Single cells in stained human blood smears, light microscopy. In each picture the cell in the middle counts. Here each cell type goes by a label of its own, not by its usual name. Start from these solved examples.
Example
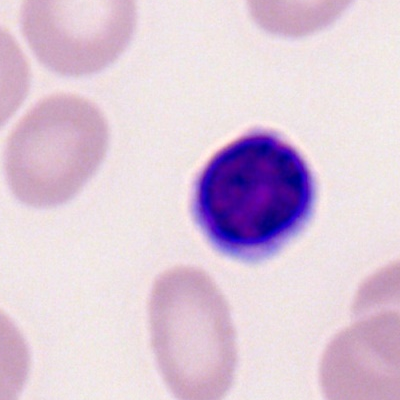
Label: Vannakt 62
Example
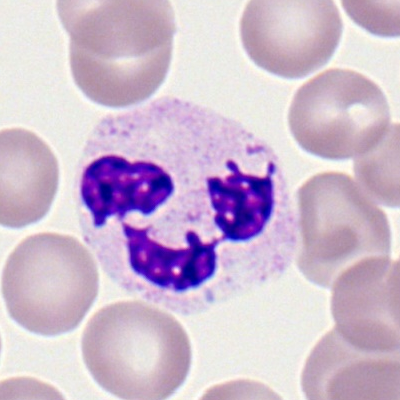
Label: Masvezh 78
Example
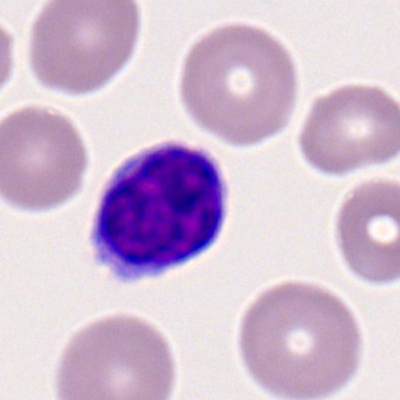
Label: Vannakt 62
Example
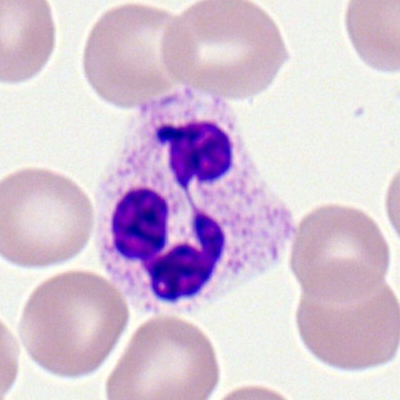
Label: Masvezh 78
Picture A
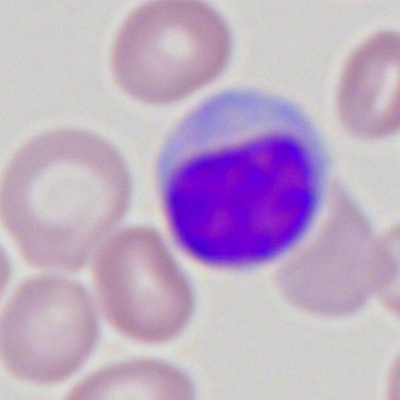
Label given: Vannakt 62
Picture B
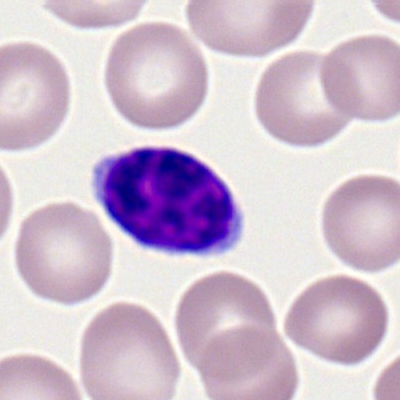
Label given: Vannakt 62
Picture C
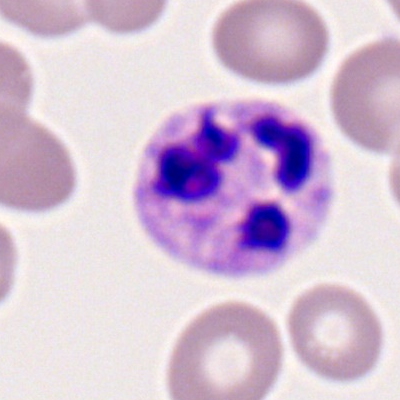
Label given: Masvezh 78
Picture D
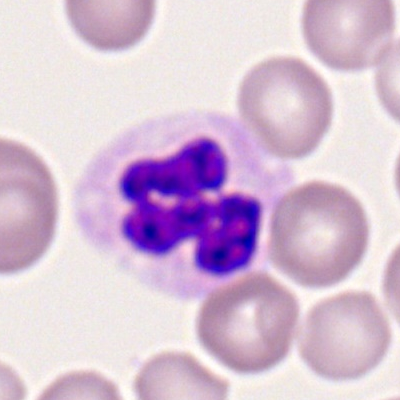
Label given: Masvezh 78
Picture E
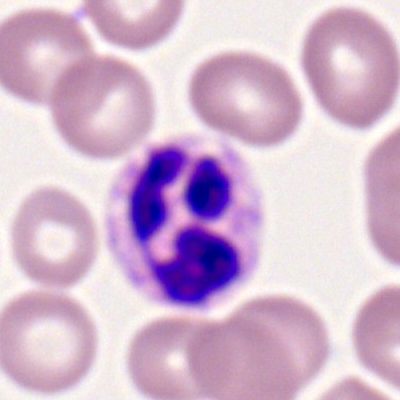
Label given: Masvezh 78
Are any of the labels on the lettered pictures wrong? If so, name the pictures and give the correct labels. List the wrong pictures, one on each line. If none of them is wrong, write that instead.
No label is wrong.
